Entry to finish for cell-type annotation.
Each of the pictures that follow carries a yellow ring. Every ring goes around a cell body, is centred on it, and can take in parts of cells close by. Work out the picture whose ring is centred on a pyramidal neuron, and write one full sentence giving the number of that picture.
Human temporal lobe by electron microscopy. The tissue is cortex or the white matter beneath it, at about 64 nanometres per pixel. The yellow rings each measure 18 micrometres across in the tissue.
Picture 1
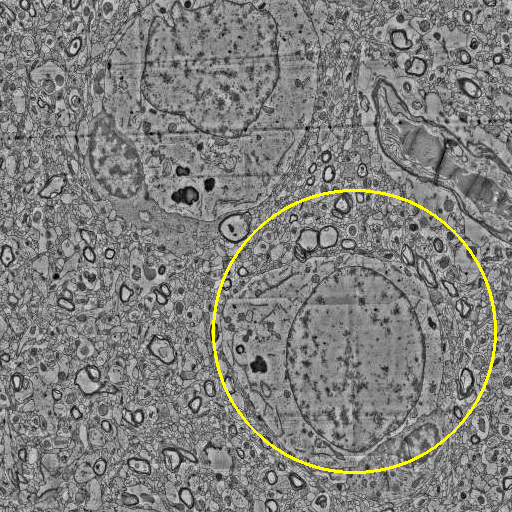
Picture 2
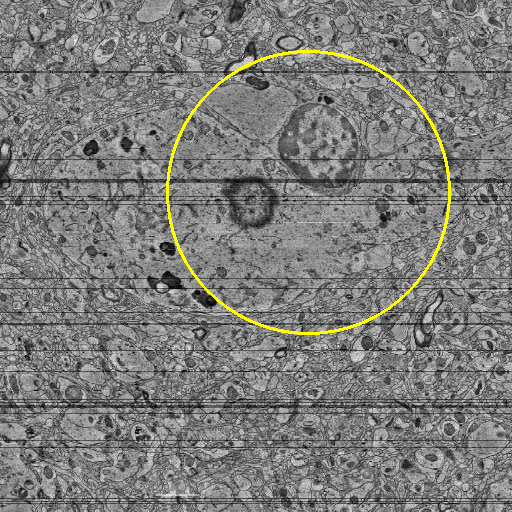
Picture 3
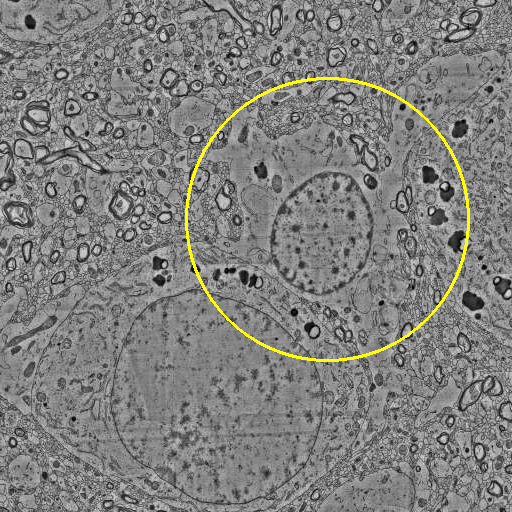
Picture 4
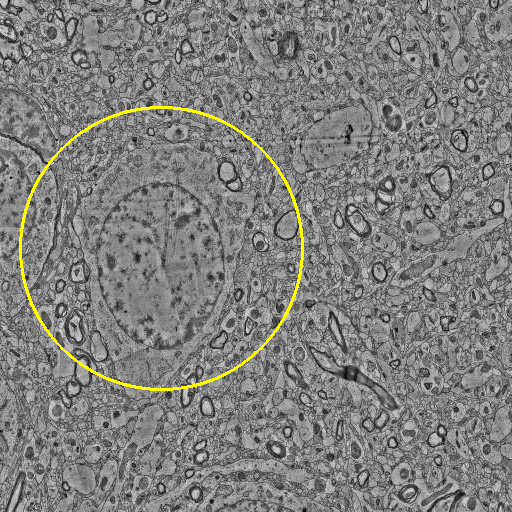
The cell at the heart of the ring in picture 1 matches the request.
